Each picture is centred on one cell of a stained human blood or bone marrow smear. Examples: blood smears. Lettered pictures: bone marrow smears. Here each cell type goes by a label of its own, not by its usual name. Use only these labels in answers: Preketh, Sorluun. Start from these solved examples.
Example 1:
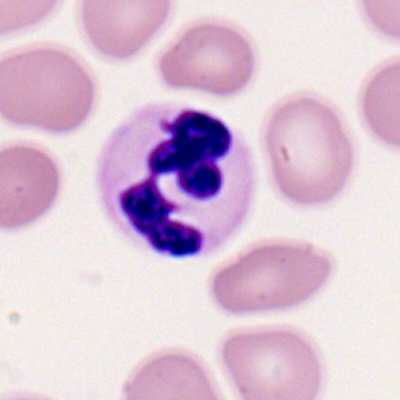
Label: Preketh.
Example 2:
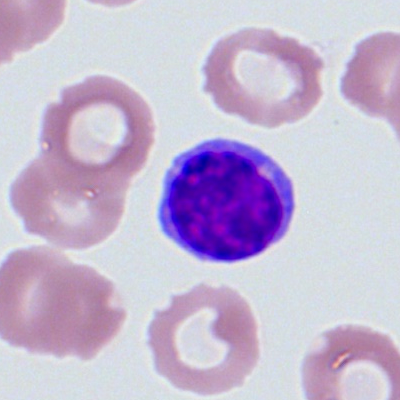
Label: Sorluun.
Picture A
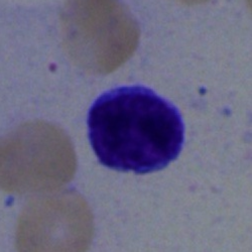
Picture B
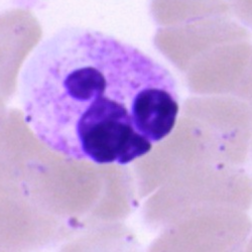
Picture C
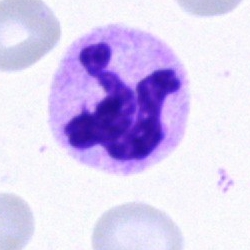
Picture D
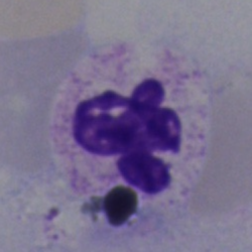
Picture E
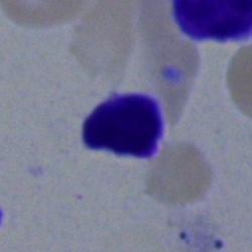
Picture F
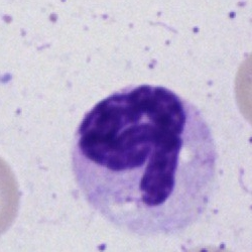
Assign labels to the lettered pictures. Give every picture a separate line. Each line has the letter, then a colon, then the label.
A: Sorluun.
B: Preketh.
C: Preketh.
D: Preketh.
E: Sorluun.
F: Preketh.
